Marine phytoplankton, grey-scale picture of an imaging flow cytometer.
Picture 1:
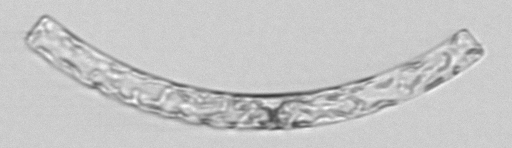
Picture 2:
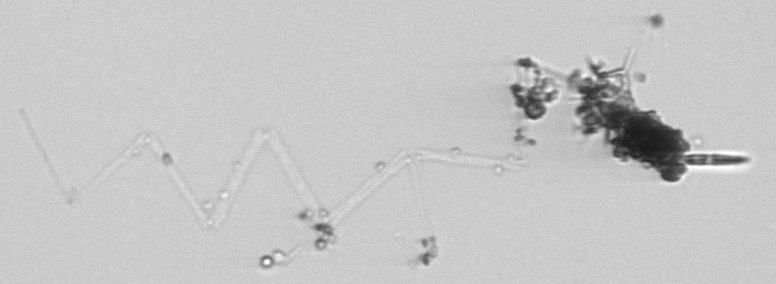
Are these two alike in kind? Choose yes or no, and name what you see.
No. First Guinardia, second Thalassionema.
